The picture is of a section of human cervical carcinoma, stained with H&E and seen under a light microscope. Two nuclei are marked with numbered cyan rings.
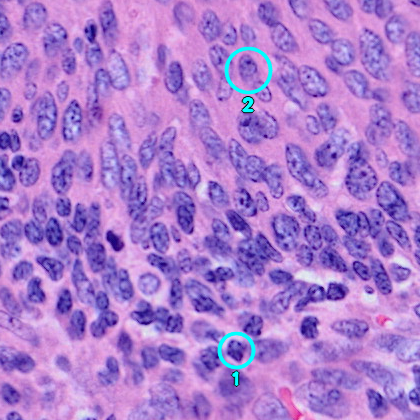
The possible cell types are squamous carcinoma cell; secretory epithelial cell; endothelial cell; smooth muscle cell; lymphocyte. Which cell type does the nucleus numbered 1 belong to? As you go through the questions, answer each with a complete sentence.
As for number 1, that cell is a lymphocyte.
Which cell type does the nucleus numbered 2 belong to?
The cell identified by the number 2 is a squamous carcinoma cell.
